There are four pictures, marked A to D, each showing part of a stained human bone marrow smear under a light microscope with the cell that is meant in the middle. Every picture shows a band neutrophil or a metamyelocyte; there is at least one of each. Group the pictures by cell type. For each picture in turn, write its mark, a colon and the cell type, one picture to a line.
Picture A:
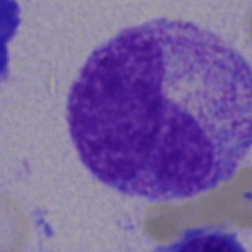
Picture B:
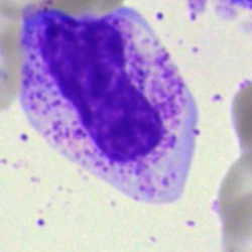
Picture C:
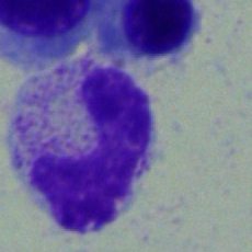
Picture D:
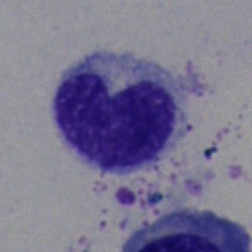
A: metamyelocyte
B: metamyelocyte
C: band neutrophil
D: metamyelocyte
